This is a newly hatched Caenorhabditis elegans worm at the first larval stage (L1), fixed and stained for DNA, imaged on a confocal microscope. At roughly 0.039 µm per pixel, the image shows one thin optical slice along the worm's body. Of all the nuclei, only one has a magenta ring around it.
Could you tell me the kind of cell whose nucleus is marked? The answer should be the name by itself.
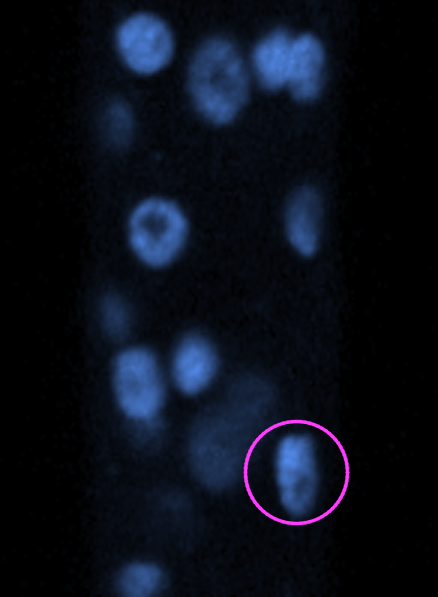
body wall muscle cell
